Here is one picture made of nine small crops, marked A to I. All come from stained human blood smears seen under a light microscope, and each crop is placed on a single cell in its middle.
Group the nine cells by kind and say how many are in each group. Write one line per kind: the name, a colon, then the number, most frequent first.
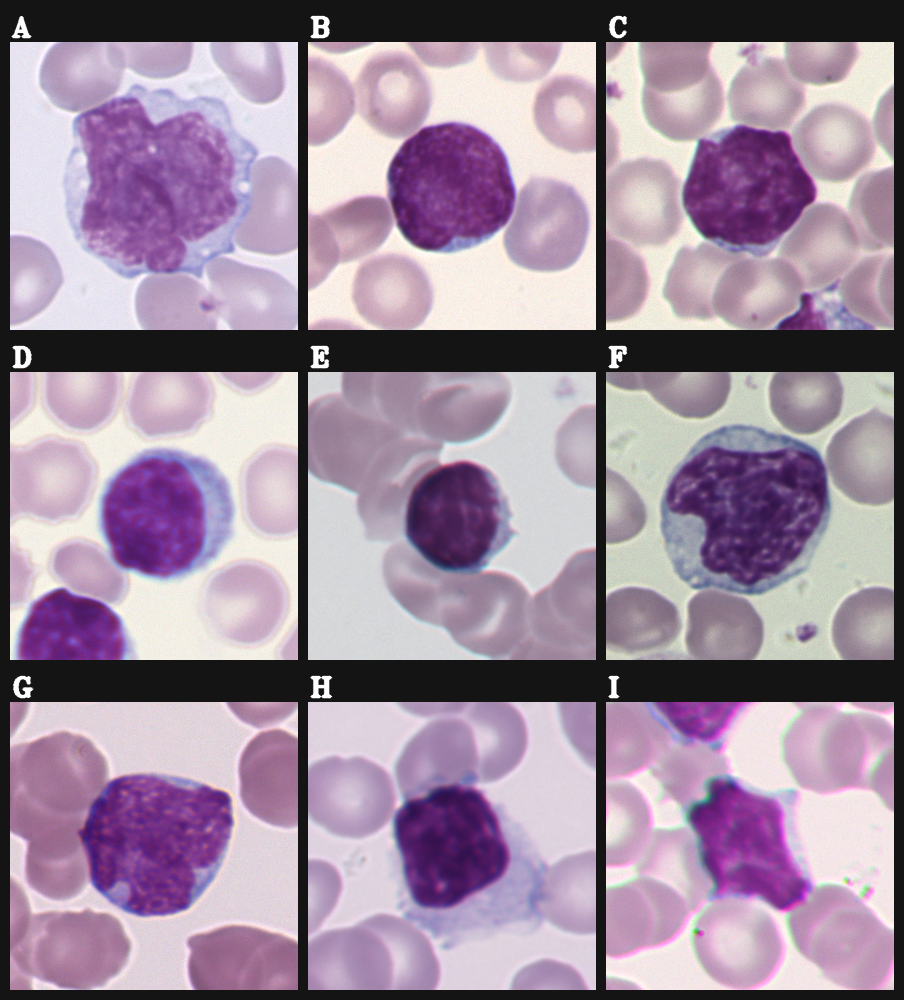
lymphocyte: 5
blast: 4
